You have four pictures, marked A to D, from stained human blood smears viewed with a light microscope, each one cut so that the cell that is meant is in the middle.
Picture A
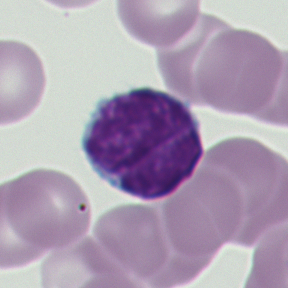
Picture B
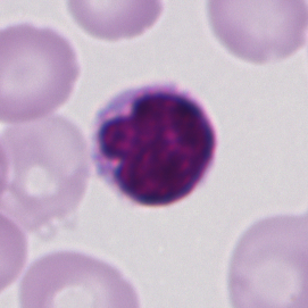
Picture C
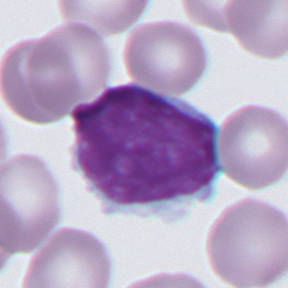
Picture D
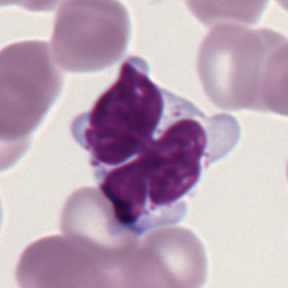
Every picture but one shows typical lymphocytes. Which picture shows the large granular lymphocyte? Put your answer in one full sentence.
It is picture D that shows the large granular lymphocyte.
